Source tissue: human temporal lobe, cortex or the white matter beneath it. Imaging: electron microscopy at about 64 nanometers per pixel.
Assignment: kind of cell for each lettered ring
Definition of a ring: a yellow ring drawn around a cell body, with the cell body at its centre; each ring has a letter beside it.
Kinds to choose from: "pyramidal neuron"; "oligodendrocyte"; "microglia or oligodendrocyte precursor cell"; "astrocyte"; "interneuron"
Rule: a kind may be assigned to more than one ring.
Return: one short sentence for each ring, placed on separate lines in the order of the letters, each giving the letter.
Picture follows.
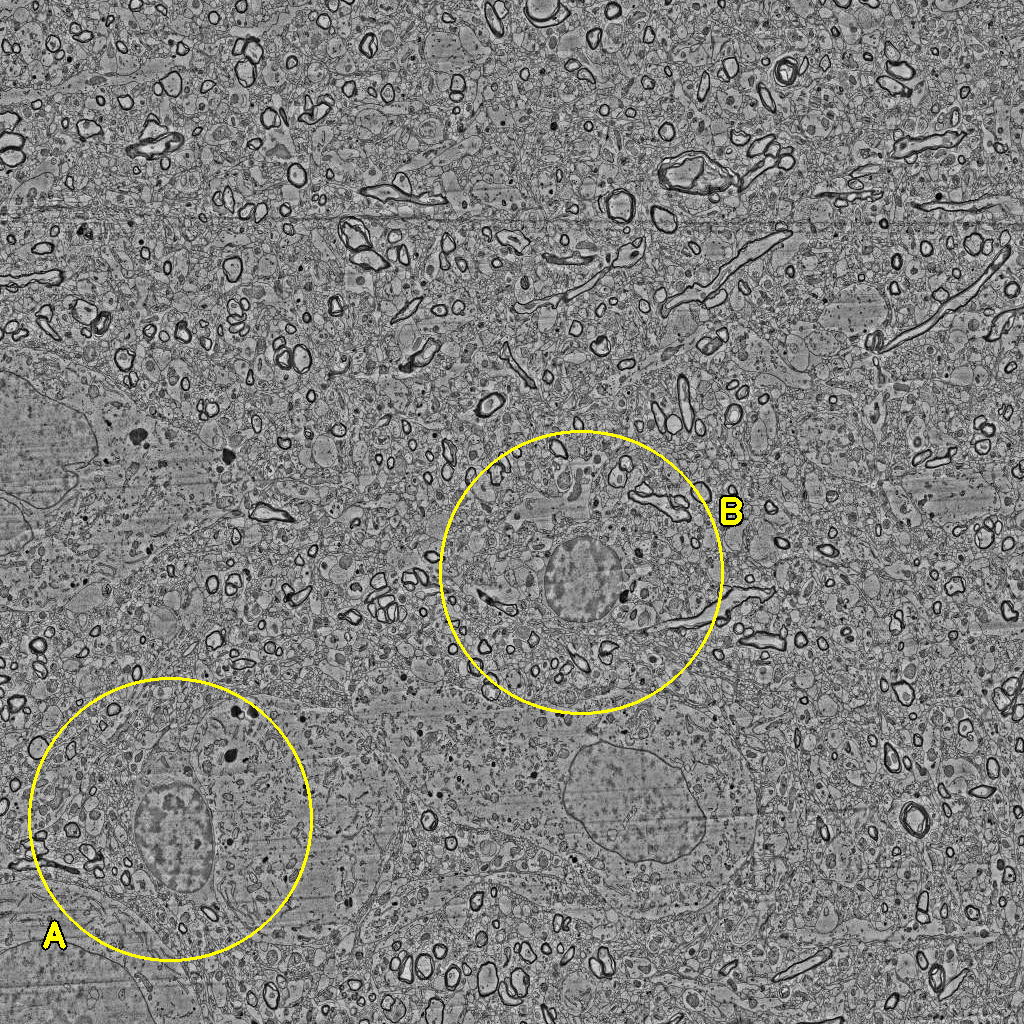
The ring marked A is centred on an oligodendrocyte.
The ring marked B is centred on an oligodendrocyte.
